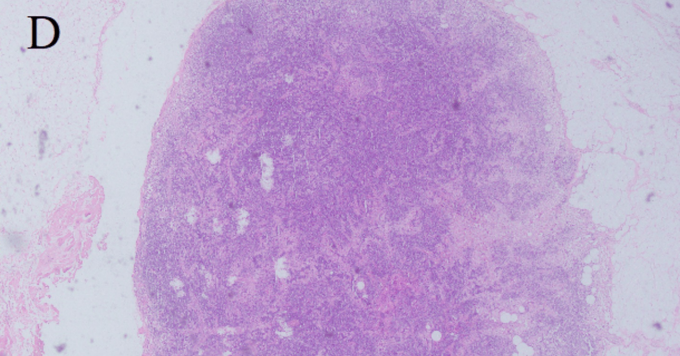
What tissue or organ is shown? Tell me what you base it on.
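A rounded, densely cellular purple nodule at low magnification. It lies in pale loose surrounding tissue with fat. On this evidence: Lymph node.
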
